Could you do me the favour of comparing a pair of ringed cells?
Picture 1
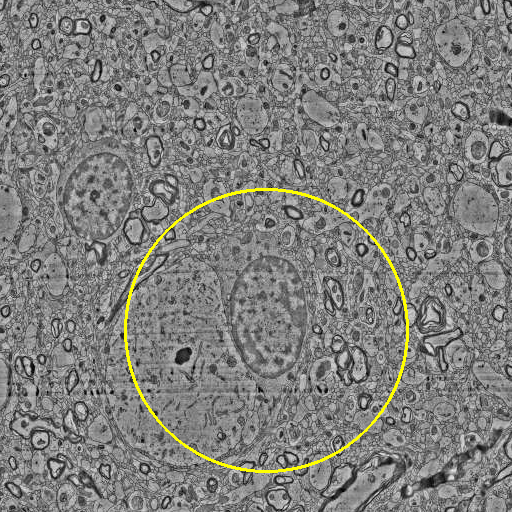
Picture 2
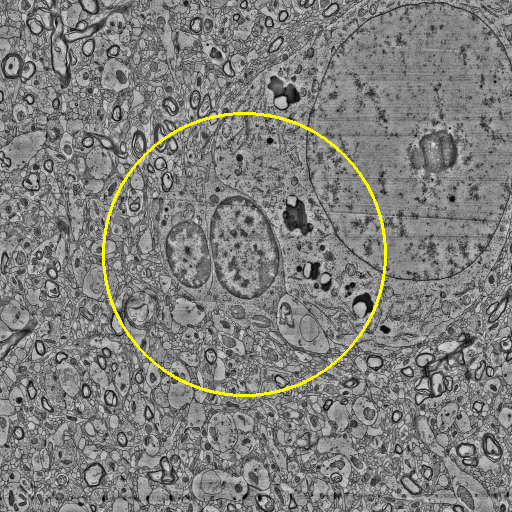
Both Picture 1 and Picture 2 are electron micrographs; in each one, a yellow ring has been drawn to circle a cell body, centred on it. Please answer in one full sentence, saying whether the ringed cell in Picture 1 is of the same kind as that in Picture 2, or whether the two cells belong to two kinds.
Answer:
The ringed cell in Picture 1 is of the same kind as that in Picture 2.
